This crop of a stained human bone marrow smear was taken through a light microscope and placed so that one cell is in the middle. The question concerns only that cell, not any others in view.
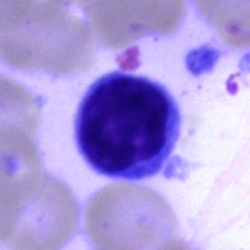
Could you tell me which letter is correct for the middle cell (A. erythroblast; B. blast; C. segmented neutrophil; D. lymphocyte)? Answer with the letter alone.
D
